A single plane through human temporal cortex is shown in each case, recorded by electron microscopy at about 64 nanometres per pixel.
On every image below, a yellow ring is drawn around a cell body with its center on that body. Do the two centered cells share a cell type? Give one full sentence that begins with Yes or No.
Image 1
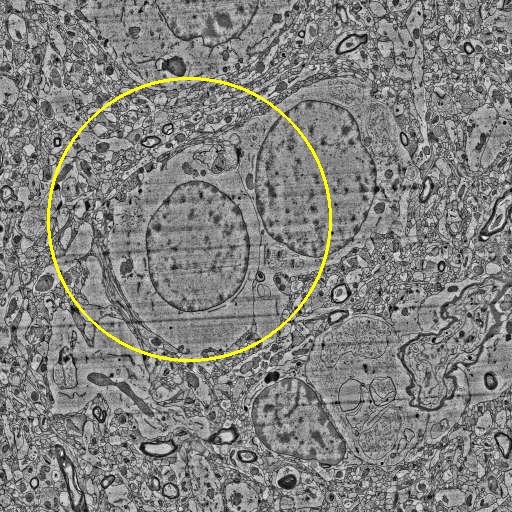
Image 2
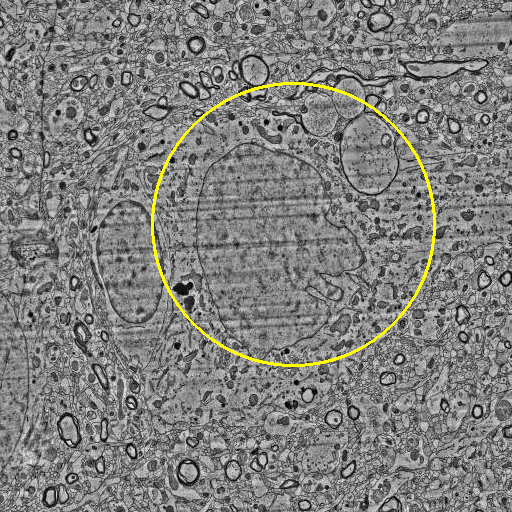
No, the centered cells in the two images are of two separate cell types.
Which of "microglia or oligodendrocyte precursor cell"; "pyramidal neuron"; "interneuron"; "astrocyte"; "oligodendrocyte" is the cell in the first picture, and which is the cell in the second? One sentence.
The two differ: the first cell is an astrocyte and the second is a pyramidal neuron.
